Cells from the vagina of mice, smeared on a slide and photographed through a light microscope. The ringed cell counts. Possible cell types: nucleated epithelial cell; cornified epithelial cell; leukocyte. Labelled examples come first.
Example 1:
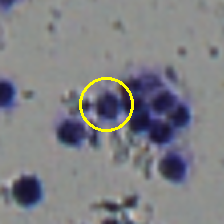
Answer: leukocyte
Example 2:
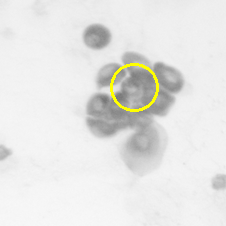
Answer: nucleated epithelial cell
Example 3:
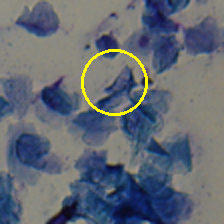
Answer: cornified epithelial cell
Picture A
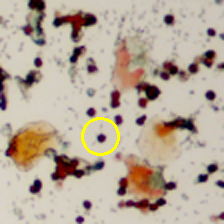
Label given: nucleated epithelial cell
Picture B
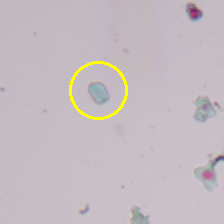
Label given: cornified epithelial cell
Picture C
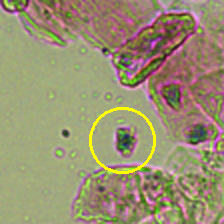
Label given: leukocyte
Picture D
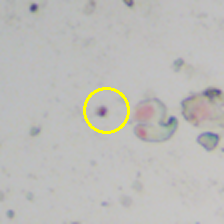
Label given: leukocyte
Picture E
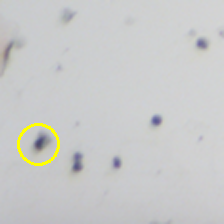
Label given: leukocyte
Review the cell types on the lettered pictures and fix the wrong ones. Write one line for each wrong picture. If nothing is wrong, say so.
A is labelled nucleated epithelial cell; correct label: leukocyte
